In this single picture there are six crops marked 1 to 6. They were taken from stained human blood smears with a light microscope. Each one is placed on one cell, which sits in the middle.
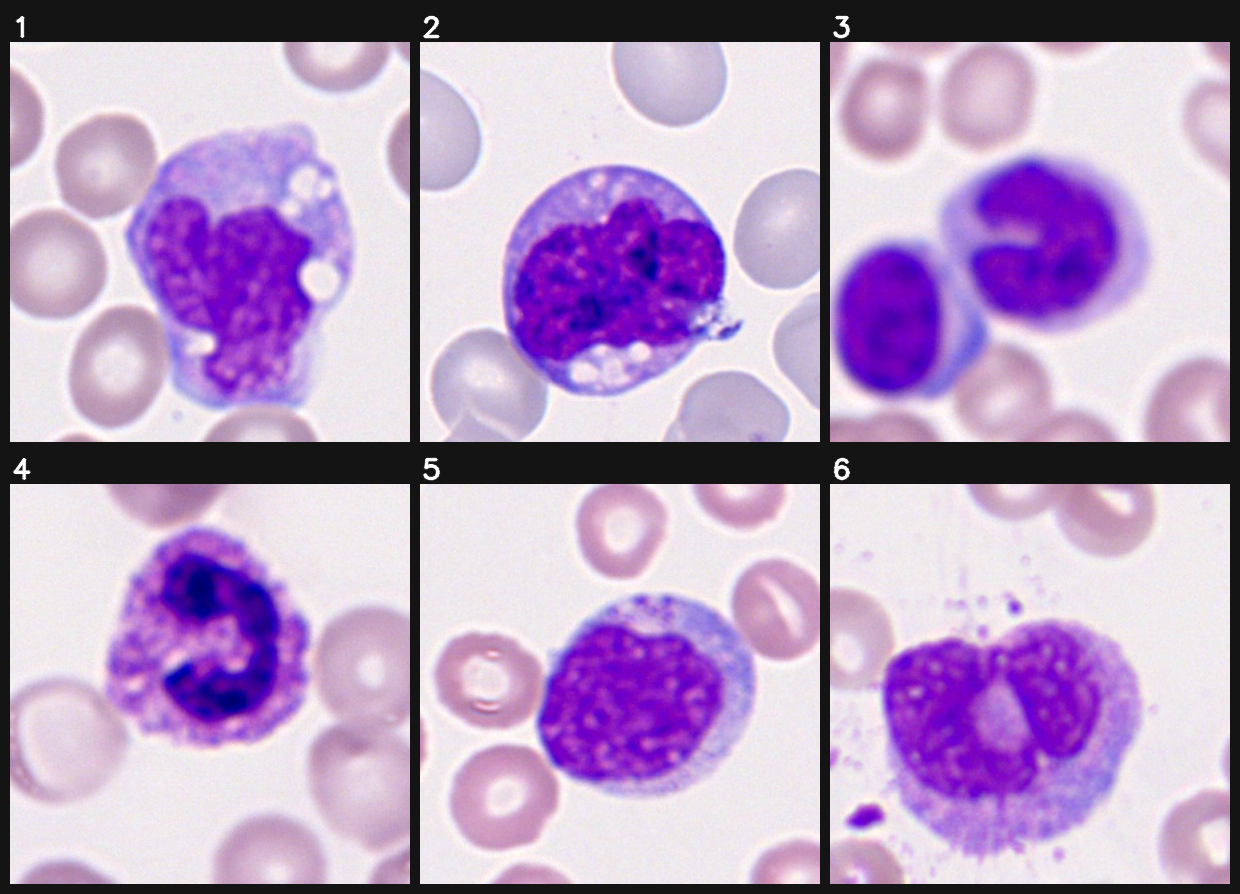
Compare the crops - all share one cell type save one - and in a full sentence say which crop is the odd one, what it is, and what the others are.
Crop 4 is a segmented neutrophil, the one exception to the monocytes of the other crops.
